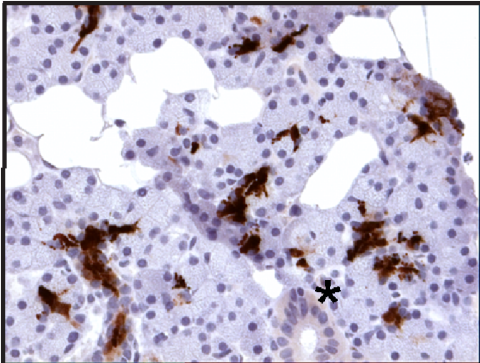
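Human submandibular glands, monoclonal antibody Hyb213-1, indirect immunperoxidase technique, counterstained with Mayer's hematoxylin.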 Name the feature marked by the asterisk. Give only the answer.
striated ducts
